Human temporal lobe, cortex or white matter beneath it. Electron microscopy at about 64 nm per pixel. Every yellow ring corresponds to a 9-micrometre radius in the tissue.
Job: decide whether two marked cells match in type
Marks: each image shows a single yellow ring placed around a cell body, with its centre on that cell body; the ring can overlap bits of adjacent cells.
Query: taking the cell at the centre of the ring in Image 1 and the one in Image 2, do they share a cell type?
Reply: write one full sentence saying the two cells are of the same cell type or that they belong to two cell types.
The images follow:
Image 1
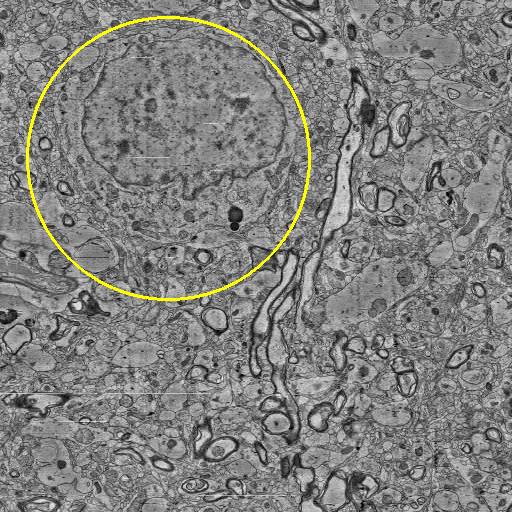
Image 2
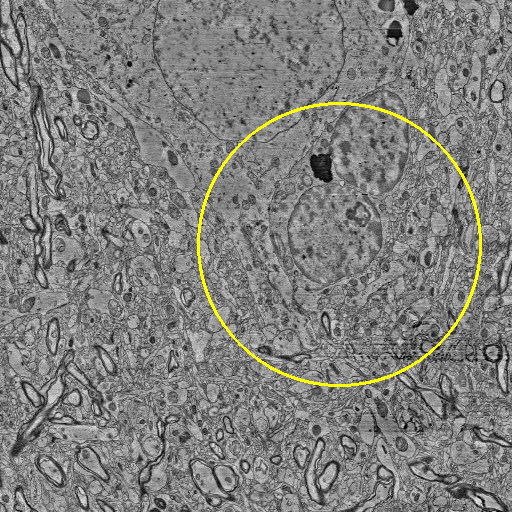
The cells at the ring centres in Image 1 and Image 2 belong to two cell types.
